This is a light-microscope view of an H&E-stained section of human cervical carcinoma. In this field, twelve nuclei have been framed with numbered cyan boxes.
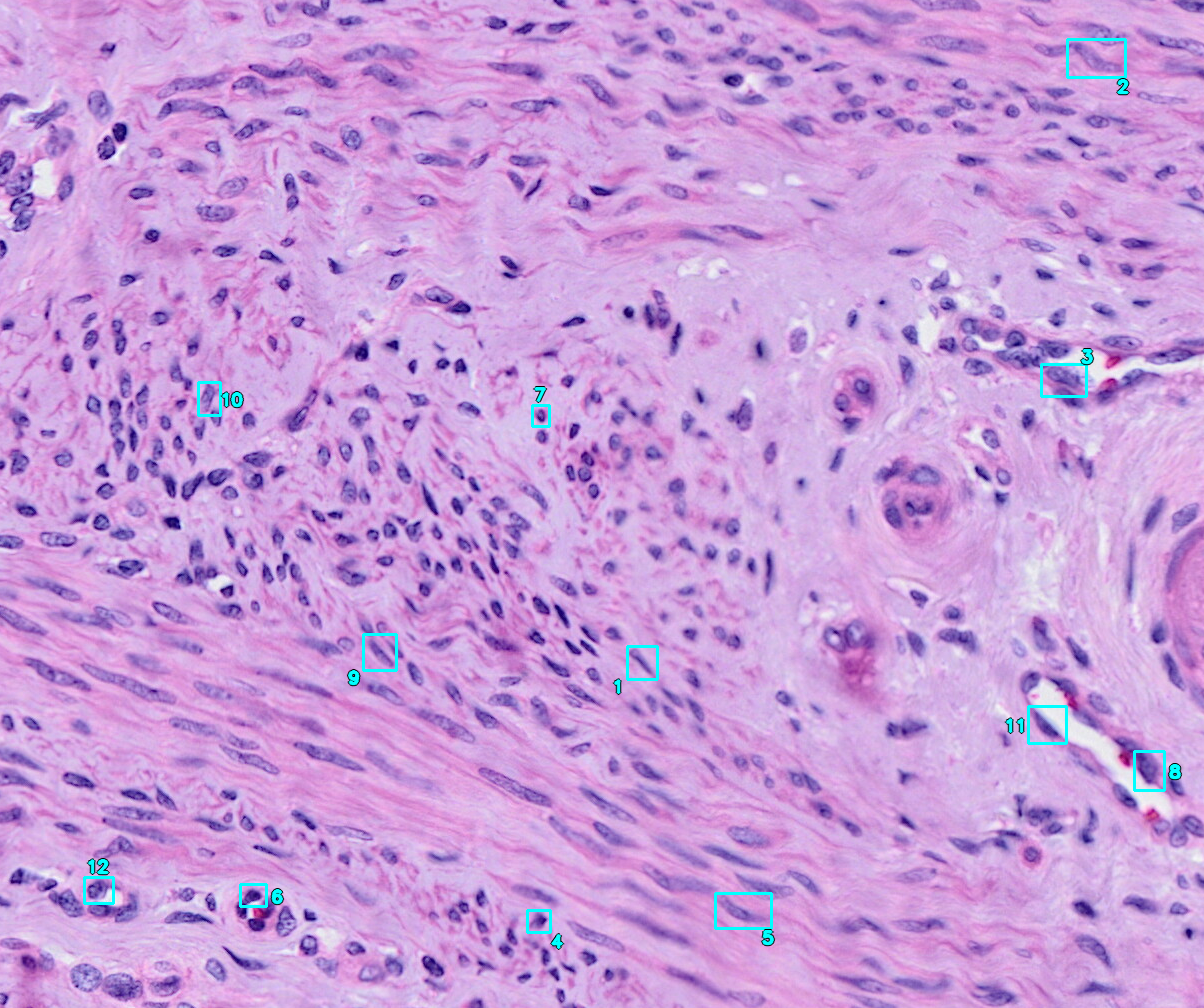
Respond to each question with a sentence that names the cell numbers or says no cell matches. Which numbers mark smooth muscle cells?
To be specific, the cells numbered 1, 2, 4, 5, 7, 9 and 10 are smooth muscle cells.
